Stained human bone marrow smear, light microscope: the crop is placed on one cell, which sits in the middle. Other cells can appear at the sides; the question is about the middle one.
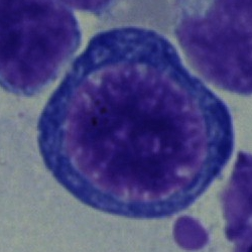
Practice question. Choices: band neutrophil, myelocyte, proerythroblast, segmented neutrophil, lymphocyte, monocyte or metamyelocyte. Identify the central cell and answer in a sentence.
In the central position of this crop, the cell is a proerythroblast.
